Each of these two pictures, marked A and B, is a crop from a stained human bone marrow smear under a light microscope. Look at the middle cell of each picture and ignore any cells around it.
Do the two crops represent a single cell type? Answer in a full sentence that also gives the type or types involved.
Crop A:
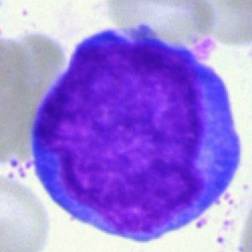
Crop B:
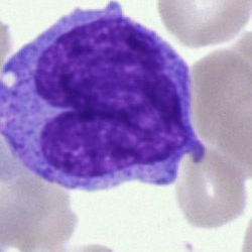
No, in crop B the central cell is a monocyte, and in crop A it is a blast.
